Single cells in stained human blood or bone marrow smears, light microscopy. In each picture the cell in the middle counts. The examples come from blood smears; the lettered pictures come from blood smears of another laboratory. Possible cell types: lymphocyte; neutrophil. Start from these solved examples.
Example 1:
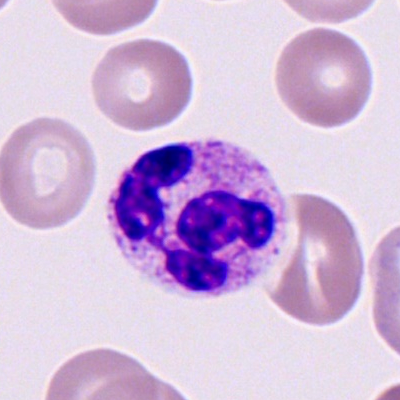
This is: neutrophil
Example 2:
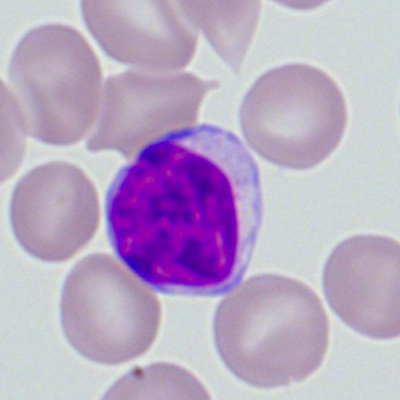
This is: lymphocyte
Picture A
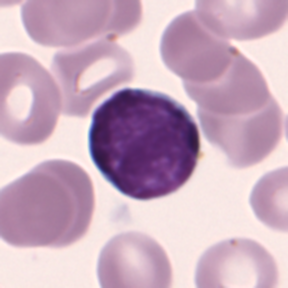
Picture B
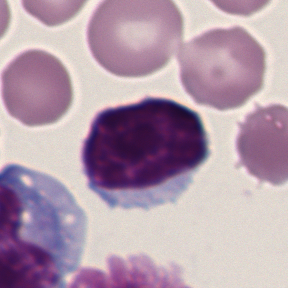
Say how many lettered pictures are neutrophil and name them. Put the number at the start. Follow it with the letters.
0, none of them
